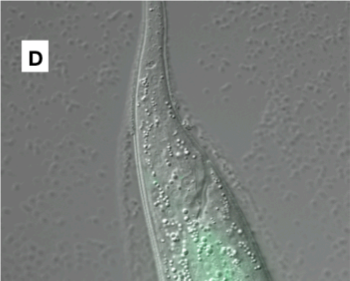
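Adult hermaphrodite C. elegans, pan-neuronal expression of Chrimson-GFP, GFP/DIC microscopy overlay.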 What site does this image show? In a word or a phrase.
Tail.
